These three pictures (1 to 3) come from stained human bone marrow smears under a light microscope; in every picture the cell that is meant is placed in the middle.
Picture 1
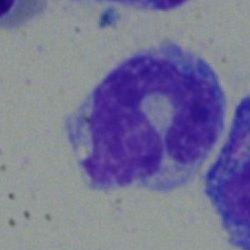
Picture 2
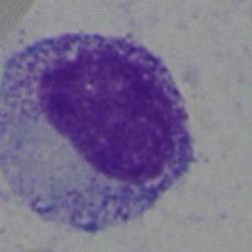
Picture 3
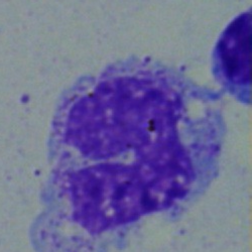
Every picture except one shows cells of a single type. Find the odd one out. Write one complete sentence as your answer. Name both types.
Unlike the rest, which show monocytes, picture 2 shows a myelocyte.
